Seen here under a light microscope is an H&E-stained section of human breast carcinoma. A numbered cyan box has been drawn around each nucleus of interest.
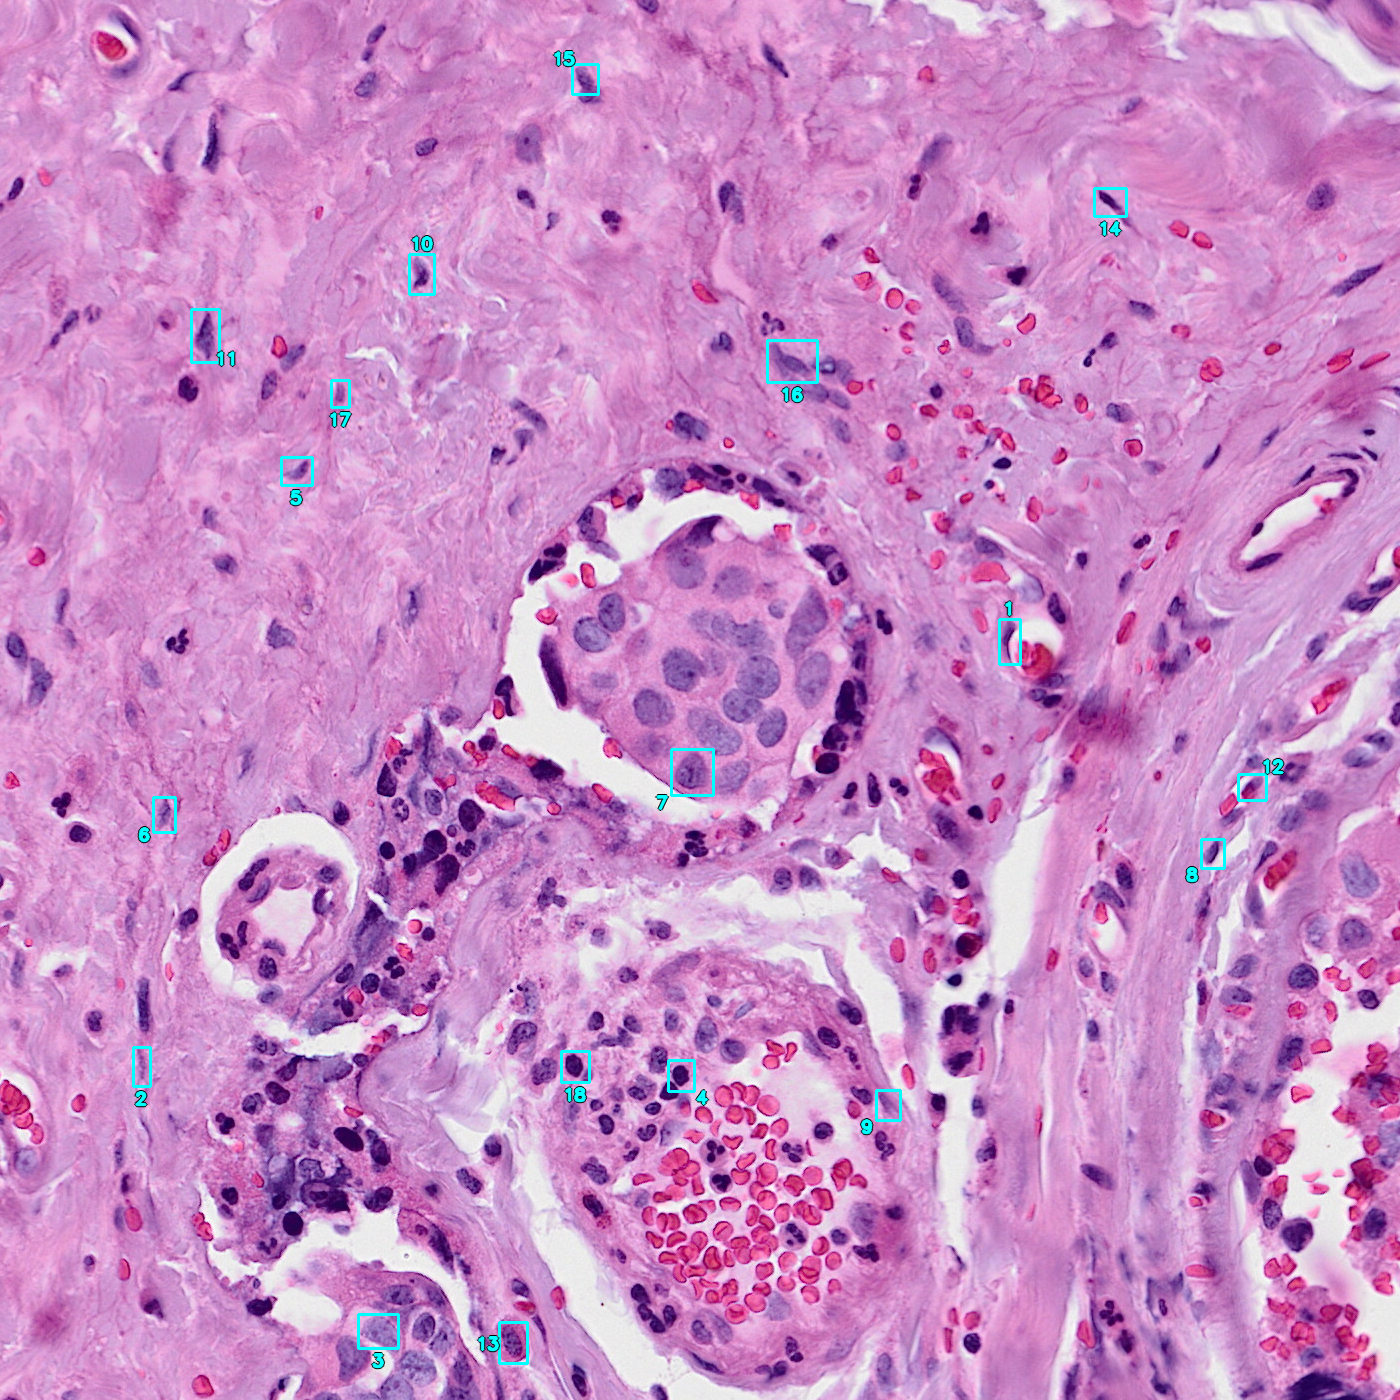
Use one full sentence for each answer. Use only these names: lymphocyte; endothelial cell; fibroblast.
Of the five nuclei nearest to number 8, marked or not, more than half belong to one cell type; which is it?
Endothelial cells make up most of the five nuclei closest to number 8.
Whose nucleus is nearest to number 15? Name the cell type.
Closest to number 15 lies the nucleus of a fibroblast.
